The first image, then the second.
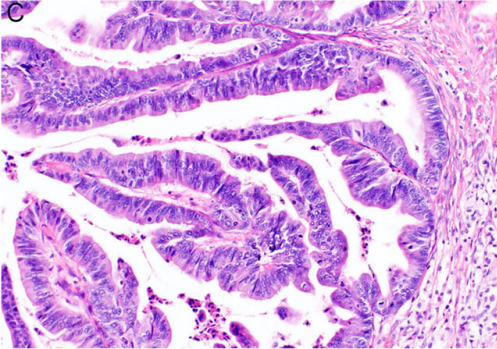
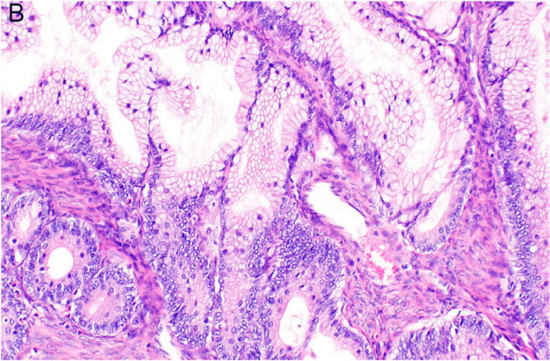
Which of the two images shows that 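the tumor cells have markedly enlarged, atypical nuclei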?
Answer: The first image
